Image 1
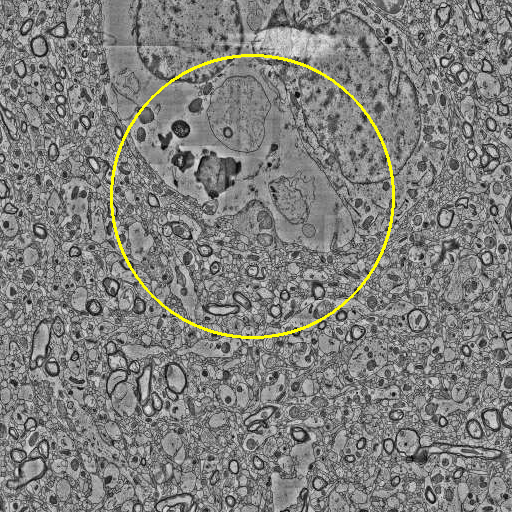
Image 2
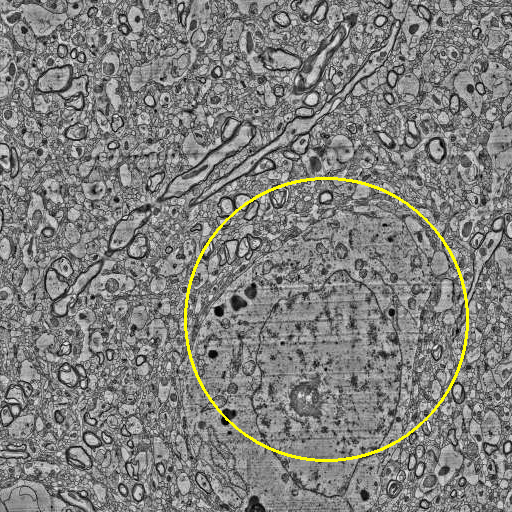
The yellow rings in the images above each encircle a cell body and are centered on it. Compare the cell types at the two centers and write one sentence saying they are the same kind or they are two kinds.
Taken together, the two cells at the ring centers are two kinds.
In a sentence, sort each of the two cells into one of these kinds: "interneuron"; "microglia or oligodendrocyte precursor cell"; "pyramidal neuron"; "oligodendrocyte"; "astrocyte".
The first of the two cells is an oligodendrocyte, and the second is a pyramidal neuron.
